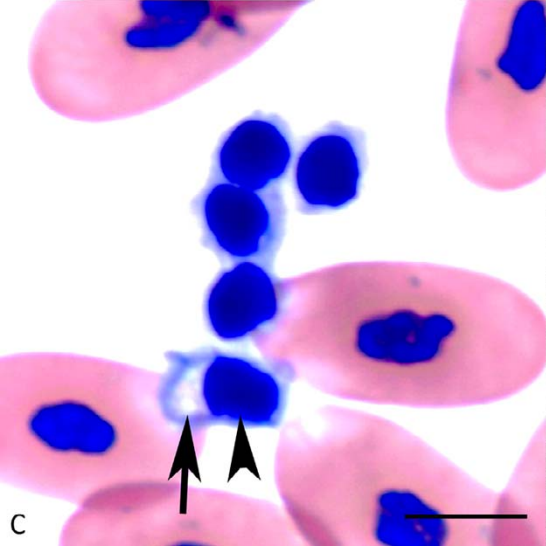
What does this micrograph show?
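A cluster of thrombocytes lies among larger oval, nucleated erythrocytes in a blood smear. The thrombocytes are small, round cells with a dark blue, round, central nucleus that takes up most of the cell and a narrow rim of pale blue cytoplasm with small projections at its edge. They are arranged in a short chain and small group. At the lower end of the cluster one small cell lies beside a clear, pale area next to its nucleus. The surrounding erythrocytes are much larger, with pink cytoplasm and a central dark nucleus.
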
